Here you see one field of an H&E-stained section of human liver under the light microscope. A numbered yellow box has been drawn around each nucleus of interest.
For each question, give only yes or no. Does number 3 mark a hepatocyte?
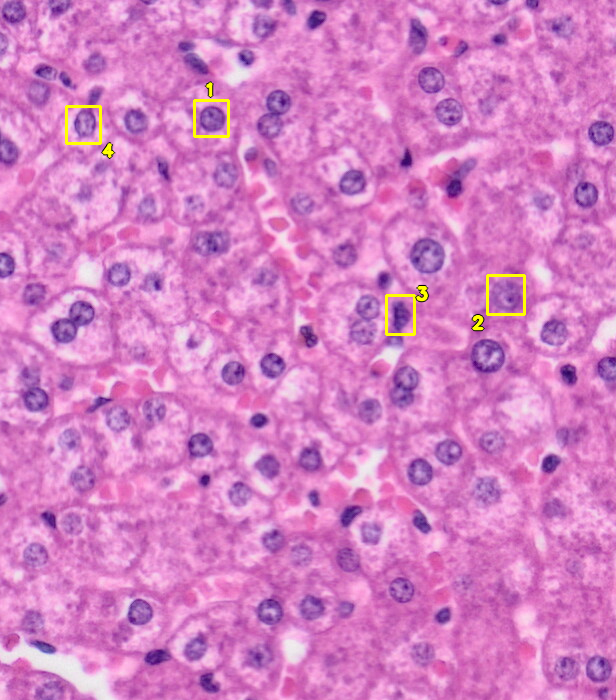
no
